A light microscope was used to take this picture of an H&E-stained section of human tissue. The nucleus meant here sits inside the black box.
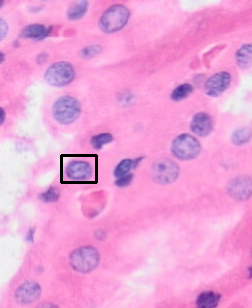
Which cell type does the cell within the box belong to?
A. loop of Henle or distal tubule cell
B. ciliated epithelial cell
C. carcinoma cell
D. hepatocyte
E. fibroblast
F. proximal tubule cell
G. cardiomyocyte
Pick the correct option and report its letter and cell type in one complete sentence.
Option A wins here: the cell within the box is a loop of Henle or distal tubule cell.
